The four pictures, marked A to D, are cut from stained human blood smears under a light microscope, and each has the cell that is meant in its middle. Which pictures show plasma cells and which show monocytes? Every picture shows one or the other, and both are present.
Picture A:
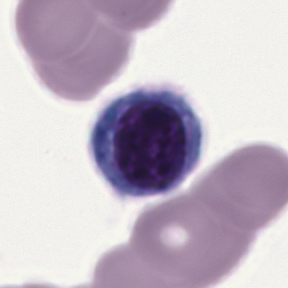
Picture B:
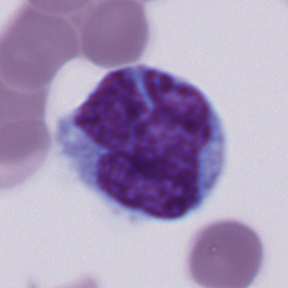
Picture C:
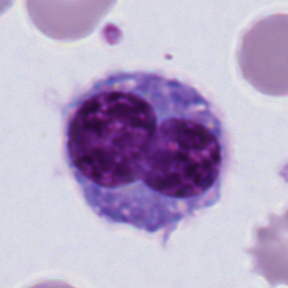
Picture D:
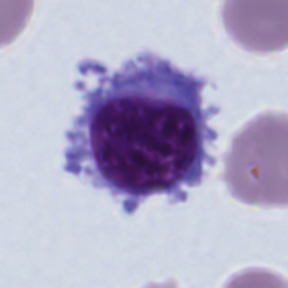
A: plasma cell
B: monocyte
C: plasma cell
D: plasma cell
